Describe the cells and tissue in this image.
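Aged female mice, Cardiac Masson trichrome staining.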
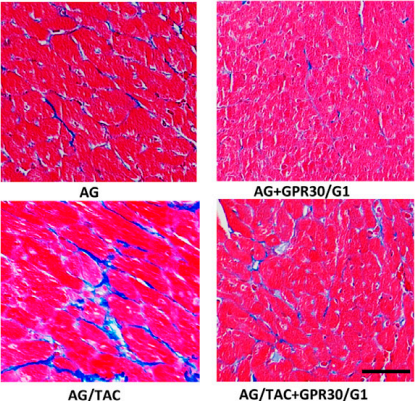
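In the upper two fields the red fibres are densely packed with only thin blue strands in the narrow spaces between them. The lower left field shows fibres running lengthwise with larger, irregular blue patches of fibrous tissue spreading between them. The lower right field shows red fibres with a fine network of blue strands.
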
